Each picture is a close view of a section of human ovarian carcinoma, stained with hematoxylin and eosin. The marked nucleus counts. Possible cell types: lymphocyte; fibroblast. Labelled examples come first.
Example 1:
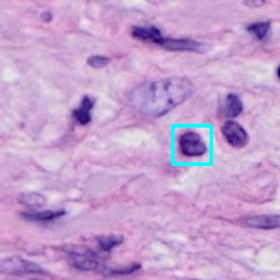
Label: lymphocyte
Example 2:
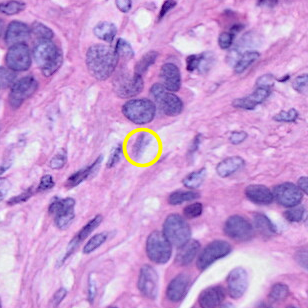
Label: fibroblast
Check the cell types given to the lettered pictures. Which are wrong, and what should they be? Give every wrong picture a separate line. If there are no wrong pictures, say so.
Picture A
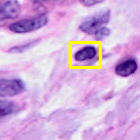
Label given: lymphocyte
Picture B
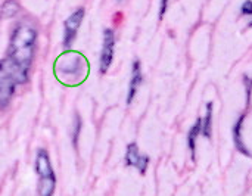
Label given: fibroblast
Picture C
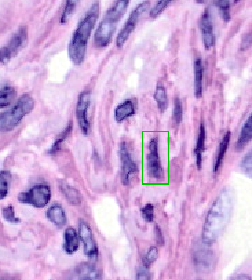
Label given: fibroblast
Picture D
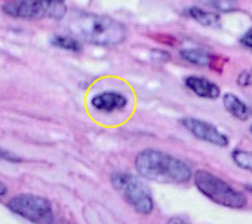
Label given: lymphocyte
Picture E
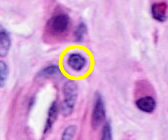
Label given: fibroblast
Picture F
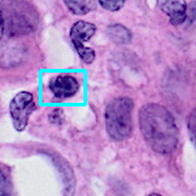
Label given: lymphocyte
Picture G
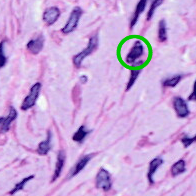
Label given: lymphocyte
E is labelled fibroblast; correct label: lymphocyte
